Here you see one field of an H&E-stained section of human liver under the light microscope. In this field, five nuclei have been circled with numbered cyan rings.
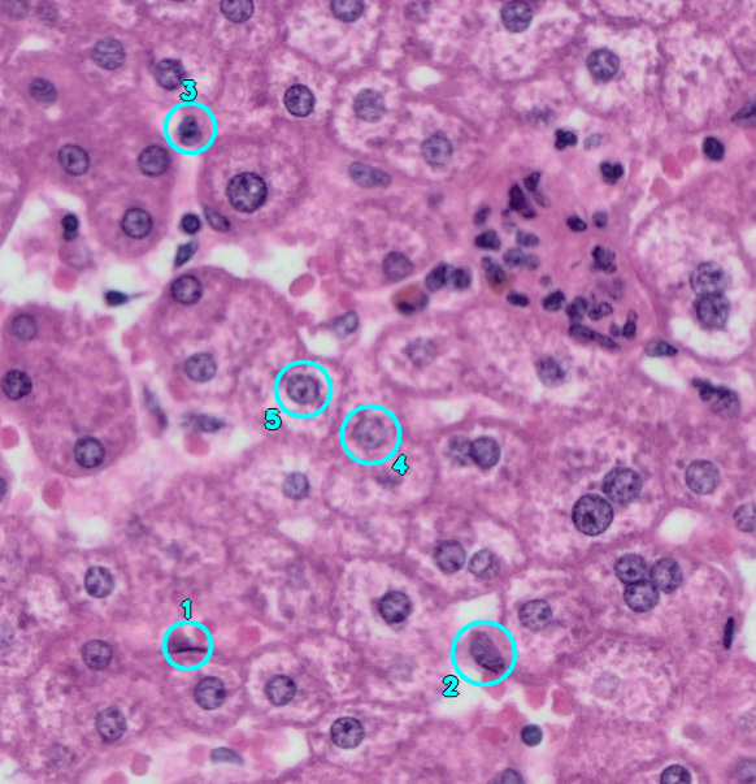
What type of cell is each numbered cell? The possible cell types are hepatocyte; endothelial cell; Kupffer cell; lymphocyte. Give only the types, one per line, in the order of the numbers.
endothelial cell
Kupffer cell
lymphocyte
hepatocyte
hepatocyte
